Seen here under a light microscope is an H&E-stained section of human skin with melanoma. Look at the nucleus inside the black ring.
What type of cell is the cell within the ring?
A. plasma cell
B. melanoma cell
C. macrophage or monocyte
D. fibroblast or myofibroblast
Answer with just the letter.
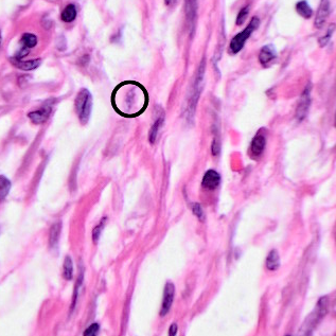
D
